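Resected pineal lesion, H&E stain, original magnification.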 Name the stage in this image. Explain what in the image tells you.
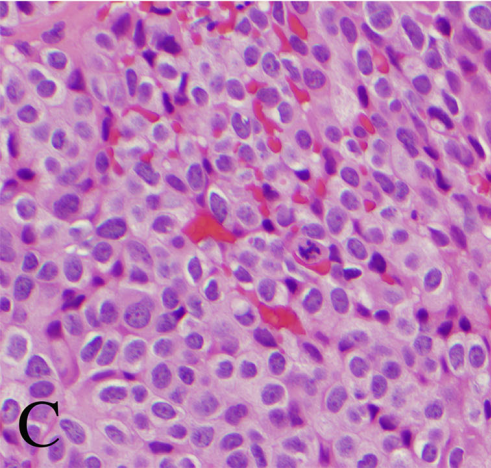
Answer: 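Near the centre a cell with dark, clumped chromosomes instead of a smooth nuclear outline.
Answer: mitotic figure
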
